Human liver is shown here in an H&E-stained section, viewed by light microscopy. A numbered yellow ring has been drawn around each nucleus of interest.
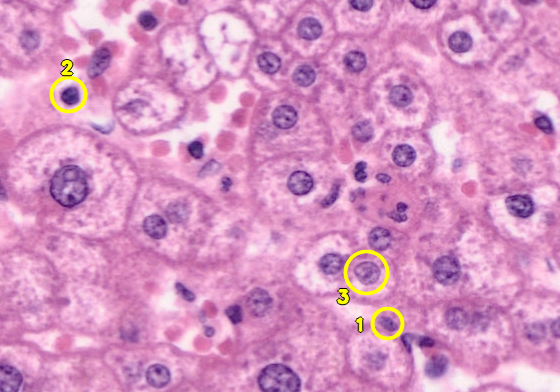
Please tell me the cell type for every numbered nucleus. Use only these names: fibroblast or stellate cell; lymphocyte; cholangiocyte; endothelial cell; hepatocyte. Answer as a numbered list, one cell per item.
1. fibroblast or stellate cell
2. lymphocyte
3. hepatocyte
